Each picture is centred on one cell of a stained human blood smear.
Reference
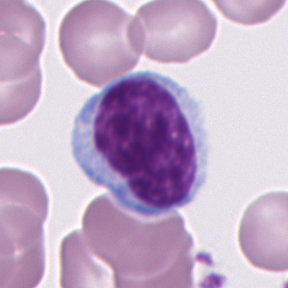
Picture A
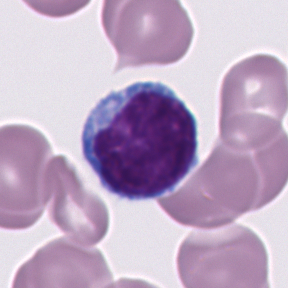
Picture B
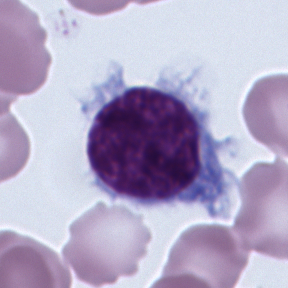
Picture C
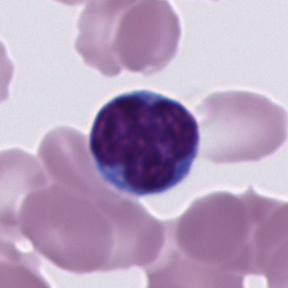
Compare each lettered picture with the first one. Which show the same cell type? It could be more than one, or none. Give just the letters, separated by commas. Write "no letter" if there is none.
A, C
